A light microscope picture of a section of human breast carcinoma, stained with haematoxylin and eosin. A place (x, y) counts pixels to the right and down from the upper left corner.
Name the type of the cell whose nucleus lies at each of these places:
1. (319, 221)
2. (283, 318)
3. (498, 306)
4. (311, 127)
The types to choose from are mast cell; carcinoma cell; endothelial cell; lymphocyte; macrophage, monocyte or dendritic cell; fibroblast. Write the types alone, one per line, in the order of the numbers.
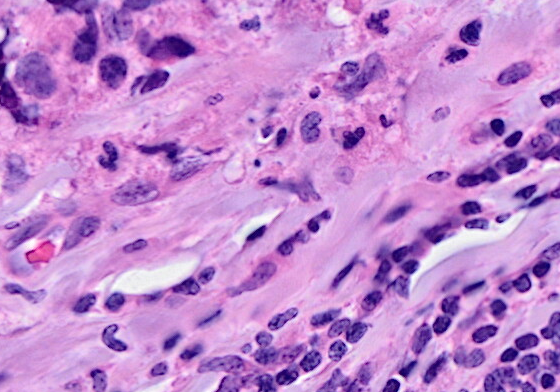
lymphocyte
lymphocyte
lymphocyte
mast cell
